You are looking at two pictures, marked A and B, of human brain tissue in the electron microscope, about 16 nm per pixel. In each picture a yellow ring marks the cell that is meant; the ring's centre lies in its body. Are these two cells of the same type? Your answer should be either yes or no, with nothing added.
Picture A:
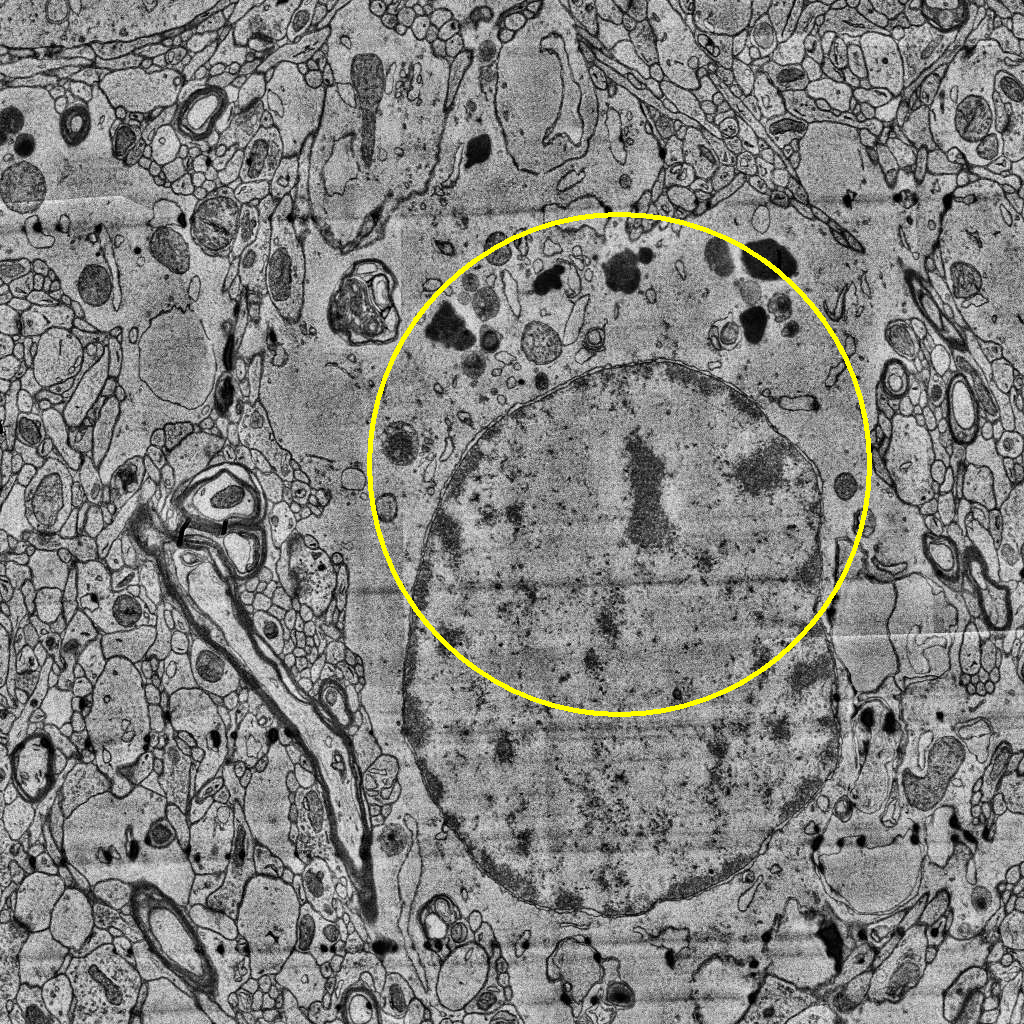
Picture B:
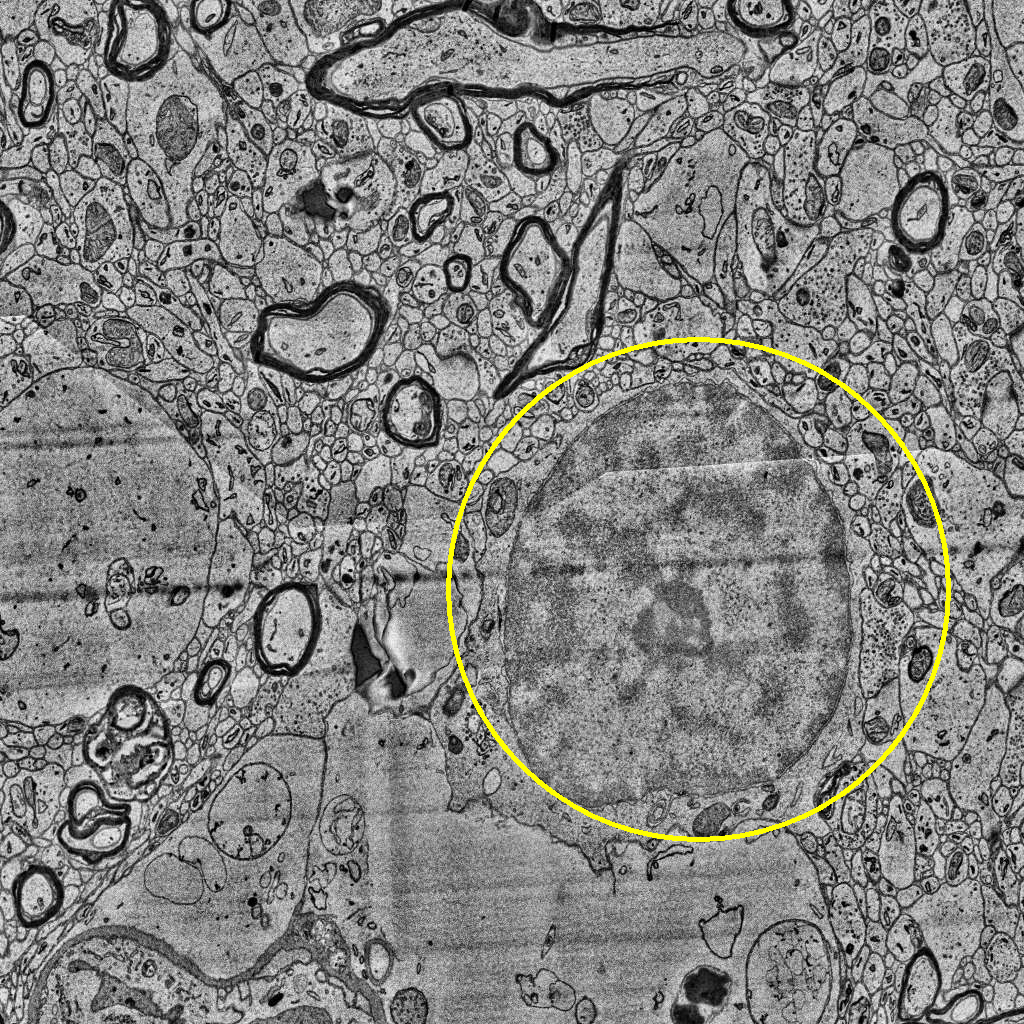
no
